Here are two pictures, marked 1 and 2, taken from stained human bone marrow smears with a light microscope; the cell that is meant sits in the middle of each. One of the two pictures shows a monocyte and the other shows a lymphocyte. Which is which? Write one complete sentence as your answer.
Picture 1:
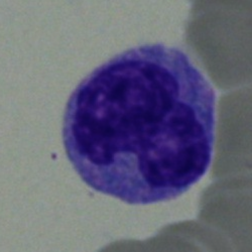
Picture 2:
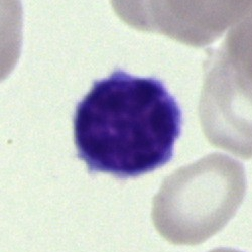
Picture 1 shows a monocyte and picture 2 shows a lymphocyte.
